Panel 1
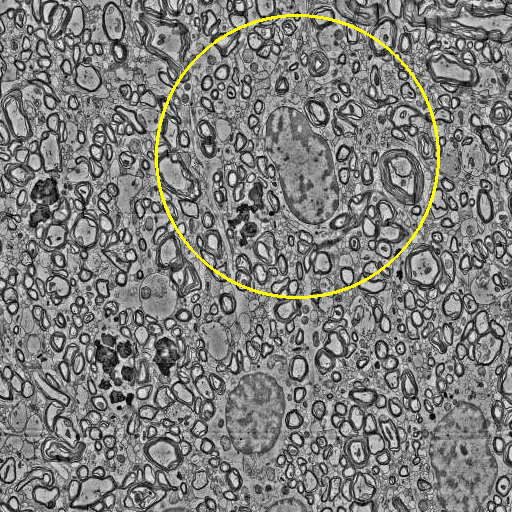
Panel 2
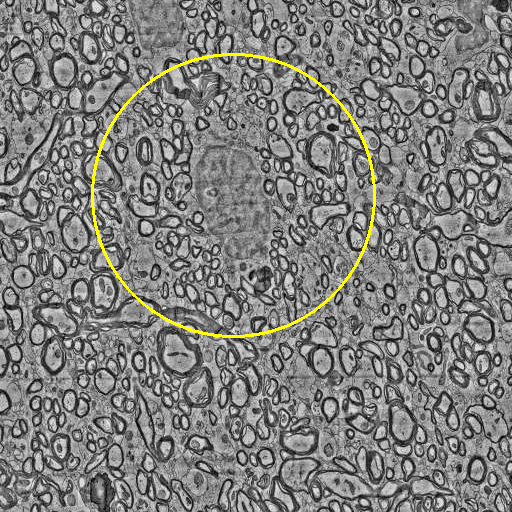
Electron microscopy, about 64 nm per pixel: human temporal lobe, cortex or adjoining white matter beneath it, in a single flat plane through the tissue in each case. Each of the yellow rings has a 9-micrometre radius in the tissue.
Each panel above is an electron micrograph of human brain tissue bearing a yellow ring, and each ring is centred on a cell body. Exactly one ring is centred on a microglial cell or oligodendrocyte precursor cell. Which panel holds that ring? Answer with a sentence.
That ring is in Panel 1.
